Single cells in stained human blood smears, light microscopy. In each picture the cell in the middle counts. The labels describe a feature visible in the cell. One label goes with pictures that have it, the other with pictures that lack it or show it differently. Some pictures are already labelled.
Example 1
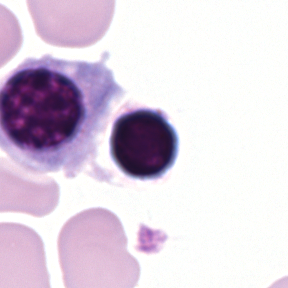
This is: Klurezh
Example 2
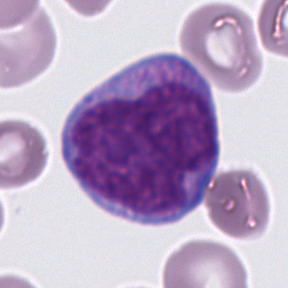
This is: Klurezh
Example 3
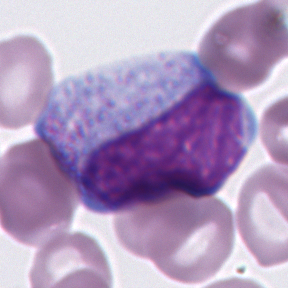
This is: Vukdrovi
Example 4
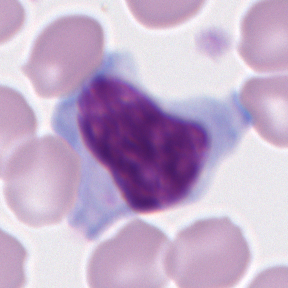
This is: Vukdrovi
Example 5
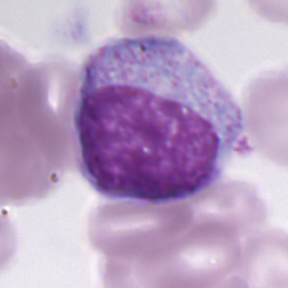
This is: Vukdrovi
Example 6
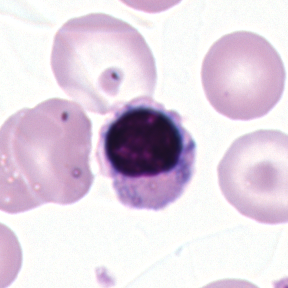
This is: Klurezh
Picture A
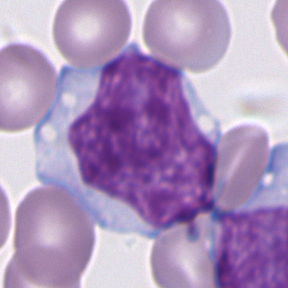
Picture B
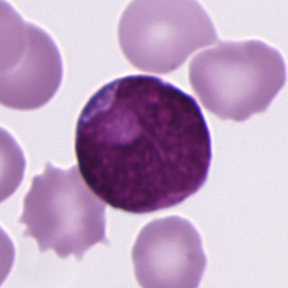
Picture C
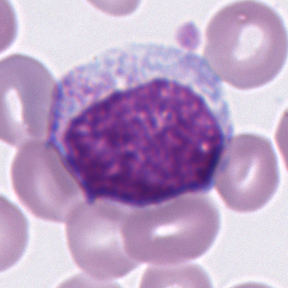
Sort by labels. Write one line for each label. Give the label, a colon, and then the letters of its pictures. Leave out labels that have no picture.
Klurezh: B
Vukdrovi: A, C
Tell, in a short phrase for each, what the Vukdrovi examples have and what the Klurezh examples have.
In Vukdrovi: abundant cytoplasm. In Klurezh: scant cytoplasm.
